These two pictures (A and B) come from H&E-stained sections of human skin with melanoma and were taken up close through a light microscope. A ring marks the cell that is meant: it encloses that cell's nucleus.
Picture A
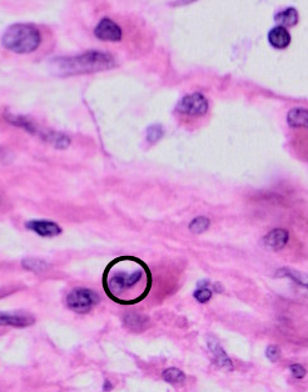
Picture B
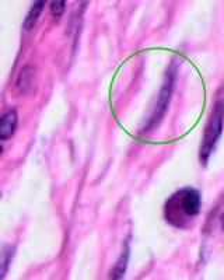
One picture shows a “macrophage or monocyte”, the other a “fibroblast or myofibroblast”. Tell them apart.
A: macrophage or monocyte
B: fibroblast or myofibroblast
